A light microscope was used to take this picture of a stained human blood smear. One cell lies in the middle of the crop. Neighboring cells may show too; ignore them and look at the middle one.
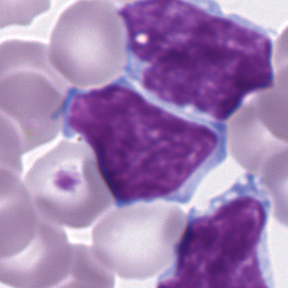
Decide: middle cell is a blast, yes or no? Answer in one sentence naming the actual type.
No, the central cell is reported as a lymphocyte rather than as a blast.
